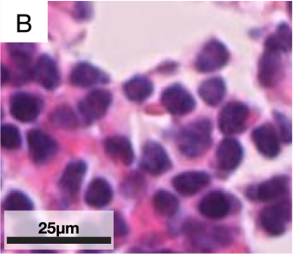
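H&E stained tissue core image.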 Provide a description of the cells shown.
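At high magnification, a cluster of small round cells fills most of the field, lying close together. Each has a round, dense, dark purple nucleus that takes up most of the cell, with only a narrow rim of pale pink cytoplasm. The cells are of fairly even size and lie loosely packed with small pink spaces between them, and a clear empty area is at the top. Such crowded small round cells with dark nuclei are inflammatory cells infiltrating the tissue.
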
